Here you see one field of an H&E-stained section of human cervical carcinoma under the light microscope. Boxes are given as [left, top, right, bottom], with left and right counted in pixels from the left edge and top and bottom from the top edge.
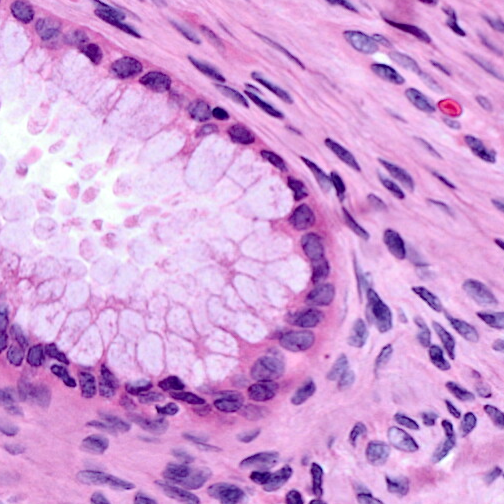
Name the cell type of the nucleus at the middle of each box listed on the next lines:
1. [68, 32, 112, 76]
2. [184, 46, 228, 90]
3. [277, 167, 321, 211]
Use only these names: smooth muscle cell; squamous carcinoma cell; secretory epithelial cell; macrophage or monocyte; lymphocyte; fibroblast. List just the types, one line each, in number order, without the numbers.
secretory epithelial cell
fibroblast
secretory epithelial cell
